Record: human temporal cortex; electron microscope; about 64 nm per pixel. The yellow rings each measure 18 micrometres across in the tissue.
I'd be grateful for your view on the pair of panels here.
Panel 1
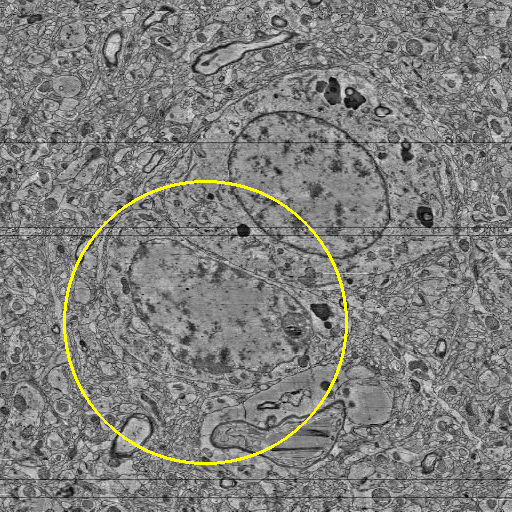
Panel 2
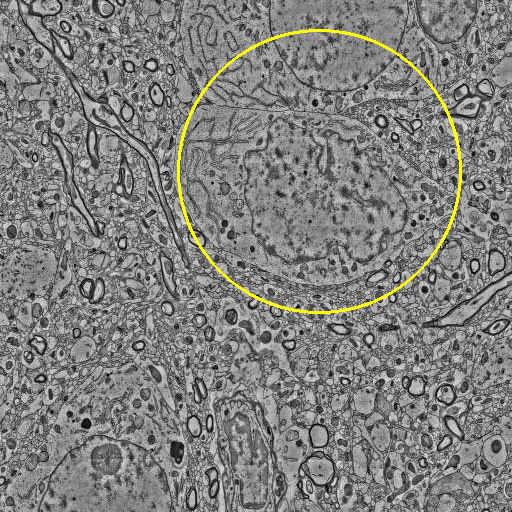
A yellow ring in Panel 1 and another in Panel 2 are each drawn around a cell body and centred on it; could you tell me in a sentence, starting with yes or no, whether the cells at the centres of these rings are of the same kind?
Yes, they are the same kind of cell.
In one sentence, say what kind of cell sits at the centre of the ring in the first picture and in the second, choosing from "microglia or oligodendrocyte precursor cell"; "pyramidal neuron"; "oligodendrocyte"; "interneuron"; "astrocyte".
Each one of the two ringed cells is an interneuron.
